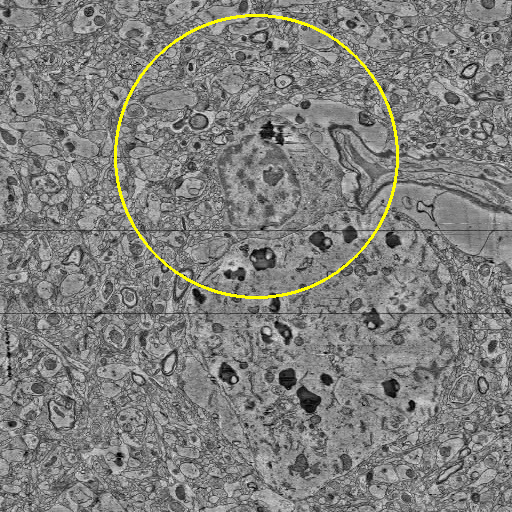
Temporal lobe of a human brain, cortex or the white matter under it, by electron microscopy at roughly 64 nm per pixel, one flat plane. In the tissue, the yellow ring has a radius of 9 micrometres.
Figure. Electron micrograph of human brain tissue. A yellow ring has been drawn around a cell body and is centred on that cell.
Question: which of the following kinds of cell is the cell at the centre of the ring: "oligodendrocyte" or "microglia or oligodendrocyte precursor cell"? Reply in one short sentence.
The cell at the centre of the ring is an oligodendrocyte.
